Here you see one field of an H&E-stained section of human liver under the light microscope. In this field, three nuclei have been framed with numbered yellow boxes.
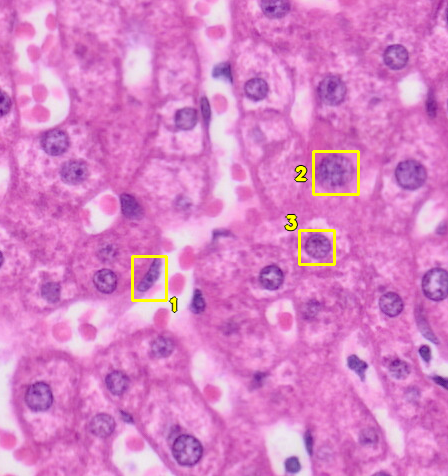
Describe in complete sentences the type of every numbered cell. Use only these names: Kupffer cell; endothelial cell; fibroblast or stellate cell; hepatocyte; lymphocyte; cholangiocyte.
Cell 1 is a Kupffer cell. Cells 2 and 3 are hepatocytes.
